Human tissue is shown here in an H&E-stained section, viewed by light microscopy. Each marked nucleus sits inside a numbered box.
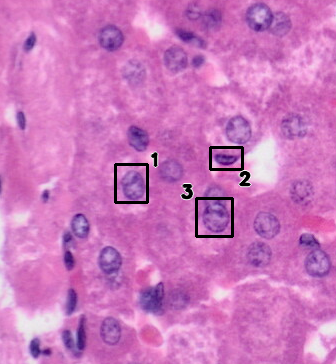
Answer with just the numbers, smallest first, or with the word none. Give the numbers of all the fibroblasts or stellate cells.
2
